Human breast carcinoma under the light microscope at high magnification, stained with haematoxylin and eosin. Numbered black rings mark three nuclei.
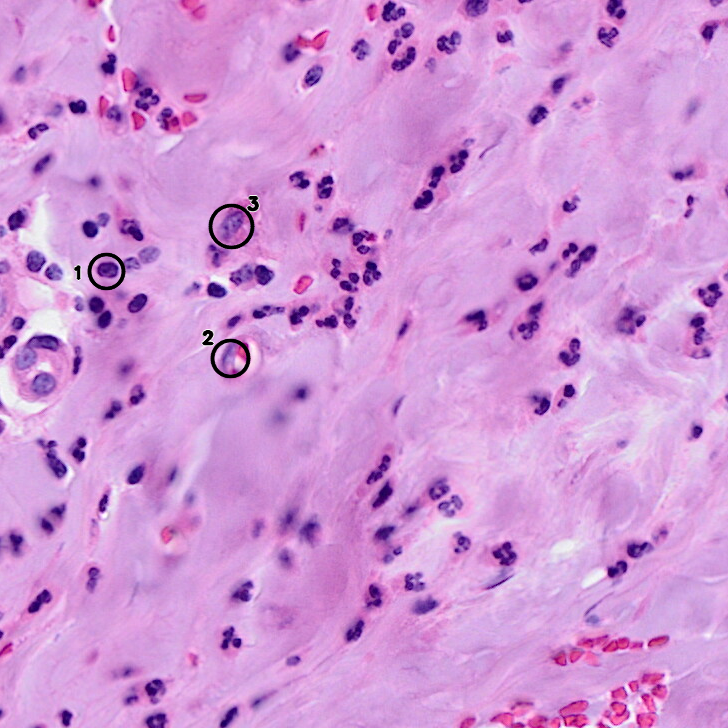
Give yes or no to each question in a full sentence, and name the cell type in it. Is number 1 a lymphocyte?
Yes, among the marked cells, the one with number 1 is a lymphocyte.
